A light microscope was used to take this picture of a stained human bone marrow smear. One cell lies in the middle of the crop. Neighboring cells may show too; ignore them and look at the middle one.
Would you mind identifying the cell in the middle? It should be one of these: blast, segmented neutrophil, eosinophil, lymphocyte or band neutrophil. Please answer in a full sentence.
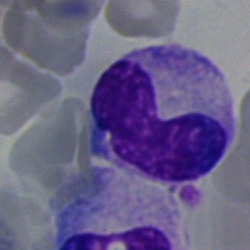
The centrally located cell in the crop is a band neutrophil.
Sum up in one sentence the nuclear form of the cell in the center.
What stands out is a nucleus forming one compact round, oval or kidney-shaped mass.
